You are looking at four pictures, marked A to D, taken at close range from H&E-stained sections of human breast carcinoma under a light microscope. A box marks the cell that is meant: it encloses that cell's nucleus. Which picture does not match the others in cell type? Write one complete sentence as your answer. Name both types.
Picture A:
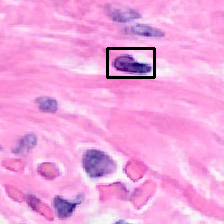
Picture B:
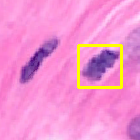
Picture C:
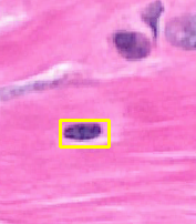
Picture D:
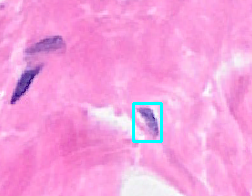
The different one is picture D; it shows a fibroblast, whereas all the others show lymphocytes.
